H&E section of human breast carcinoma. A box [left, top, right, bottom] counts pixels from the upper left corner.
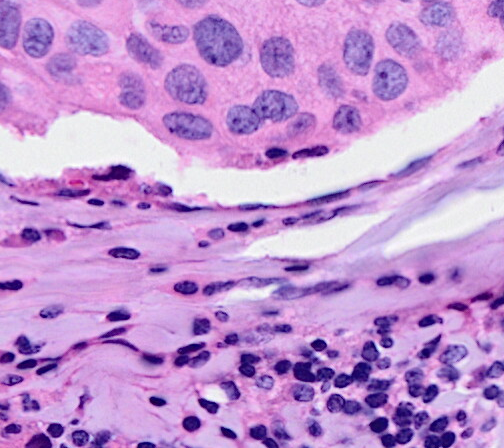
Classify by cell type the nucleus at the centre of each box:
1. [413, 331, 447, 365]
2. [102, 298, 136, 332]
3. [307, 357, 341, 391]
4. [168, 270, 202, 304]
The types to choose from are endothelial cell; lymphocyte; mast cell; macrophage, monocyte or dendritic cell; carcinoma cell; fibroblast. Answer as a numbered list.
1. lymphocyte
2. lymphocyte
3. lymphocyte
4. mast cell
